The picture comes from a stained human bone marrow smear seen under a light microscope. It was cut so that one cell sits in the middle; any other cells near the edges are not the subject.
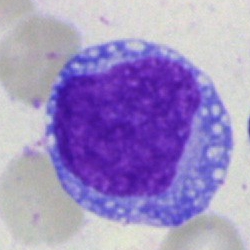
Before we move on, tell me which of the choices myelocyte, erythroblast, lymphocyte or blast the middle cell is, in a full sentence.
The central cell, amid any neighbouring cells, is a blast.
